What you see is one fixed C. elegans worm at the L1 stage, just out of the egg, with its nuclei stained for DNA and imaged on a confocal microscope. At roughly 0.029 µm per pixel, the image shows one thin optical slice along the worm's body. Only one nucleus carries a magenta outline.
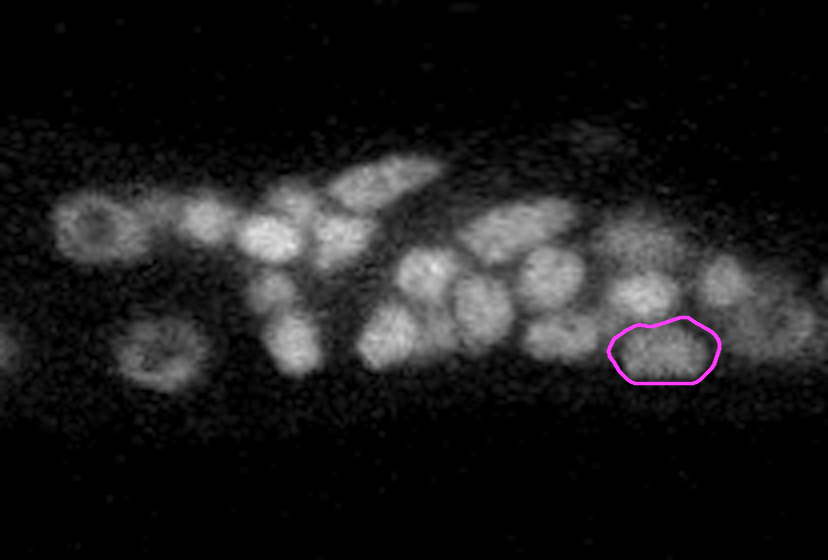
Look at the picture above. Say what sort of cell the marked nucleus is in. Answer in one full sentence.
The cell with the marked nucleus is a body wall muscle cell.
